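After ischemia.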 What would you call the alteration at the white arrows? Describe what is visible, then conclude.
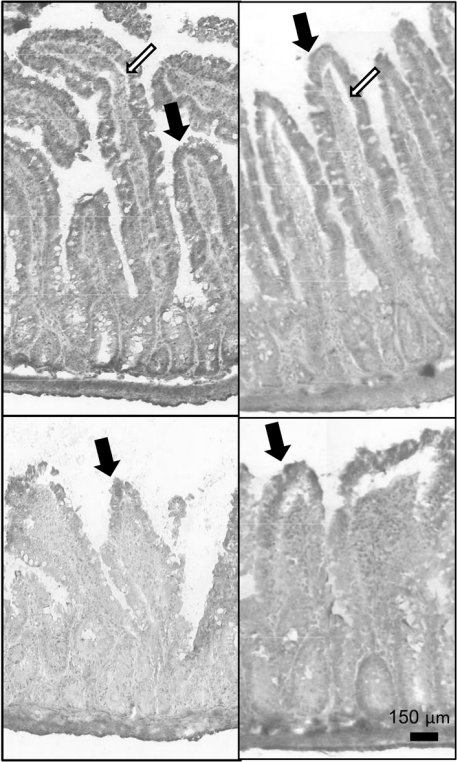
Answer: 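The white arrows lie inside villi, at the boundary between the core and the covering epithelium. A pale gap runs between the epithelial layer and the villus core there. That points to this answer: points of separation between the lamina propria and the mucosal epithelial layer.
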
